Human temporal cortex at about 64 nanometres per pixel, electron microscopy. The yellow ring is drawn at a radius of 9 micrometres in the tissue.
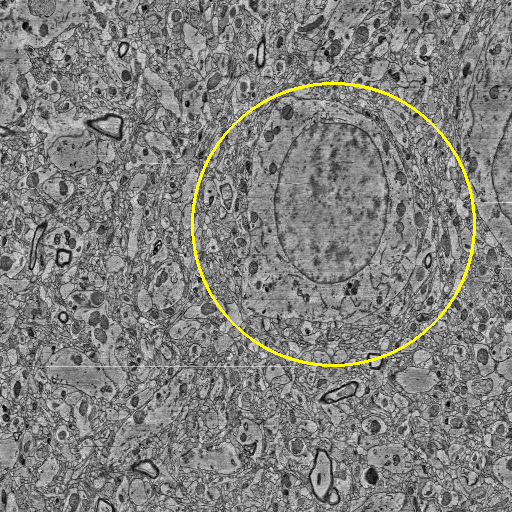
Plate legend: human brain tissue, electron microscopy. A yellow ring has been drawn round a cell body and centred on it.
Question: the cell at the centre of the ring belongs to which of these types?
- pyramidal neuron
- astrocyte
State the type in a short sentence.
The cell in the middle of the ring is a pyramidal neuron.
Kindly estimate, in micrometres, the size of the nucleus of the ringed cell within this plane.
The ringed cell's nucleus is about 11 micrometres long and 7 micrometres wide in this plane.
